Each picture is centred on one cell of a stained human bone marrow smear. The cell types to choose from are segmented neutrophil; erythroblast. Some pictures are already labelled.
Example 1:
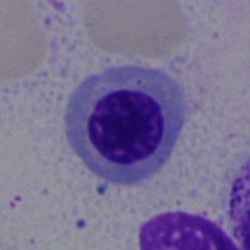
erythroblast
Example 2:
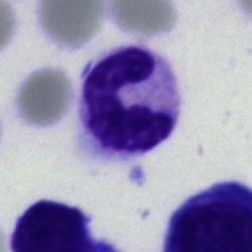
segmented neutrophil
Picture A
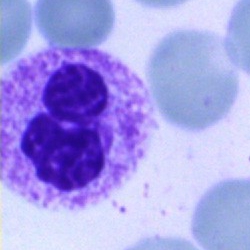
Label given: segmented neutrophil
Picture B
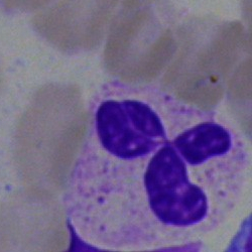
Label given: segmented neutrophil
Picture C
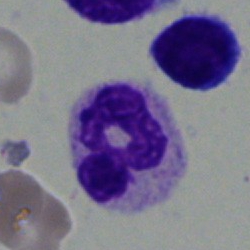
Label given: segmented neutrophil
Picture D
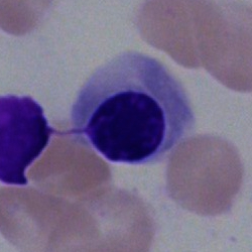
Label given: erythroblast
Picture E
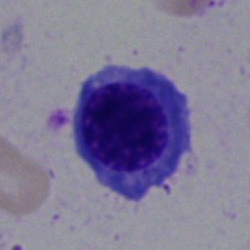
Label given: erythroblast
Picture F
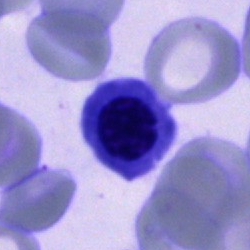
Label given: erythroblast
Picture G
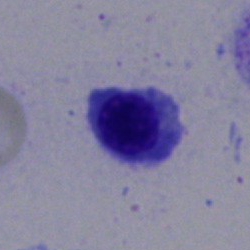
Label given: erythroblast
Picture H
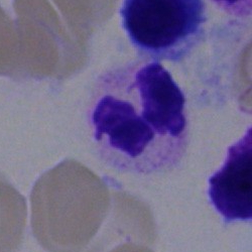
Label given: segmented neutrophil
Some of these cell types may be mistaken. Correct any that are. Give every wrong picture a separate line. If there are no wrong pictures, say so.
Nothing to fix; every label fits.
